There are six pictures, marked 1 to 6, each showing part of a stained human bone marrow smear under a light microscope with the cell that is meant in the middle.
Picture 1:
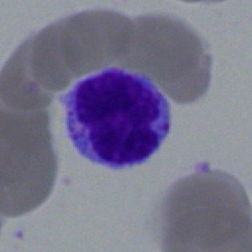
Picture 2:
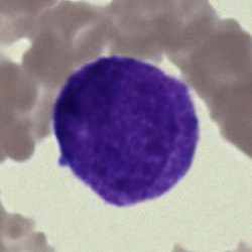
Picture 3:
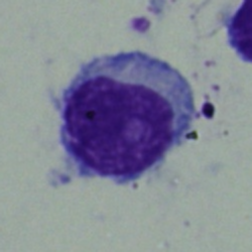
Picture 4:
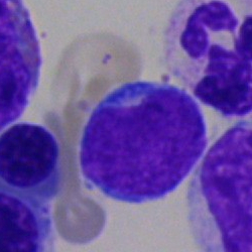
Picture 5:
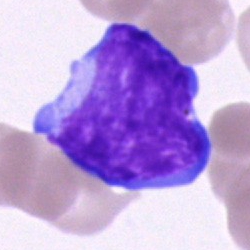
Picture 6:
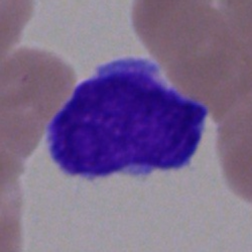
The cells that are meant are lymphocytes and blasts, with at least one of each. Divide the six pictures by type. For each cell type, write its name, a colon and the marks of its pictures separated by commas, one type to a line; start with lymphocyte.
lymphocyte: 1, 3, 4
blast: 2, 5, 6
